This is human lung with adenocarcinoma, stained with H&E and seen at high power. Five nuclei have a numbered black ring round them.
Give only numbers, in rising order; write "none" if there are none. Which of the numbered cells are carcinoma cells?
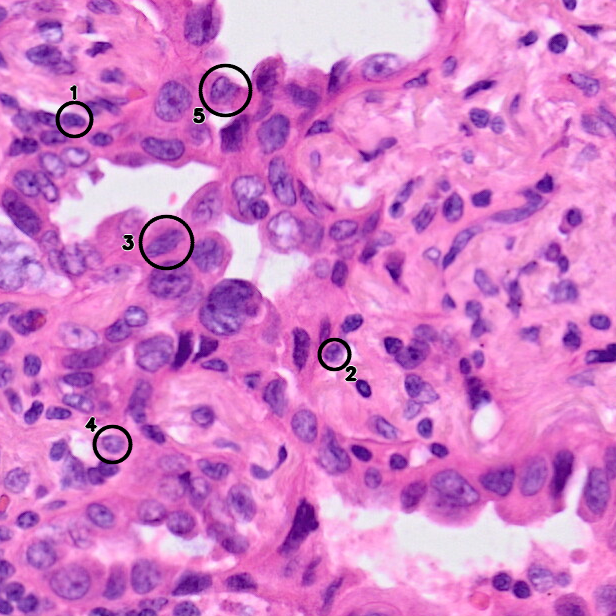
3, 5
